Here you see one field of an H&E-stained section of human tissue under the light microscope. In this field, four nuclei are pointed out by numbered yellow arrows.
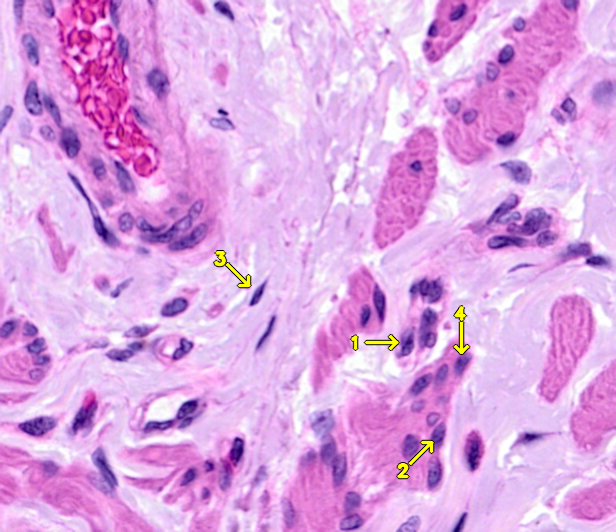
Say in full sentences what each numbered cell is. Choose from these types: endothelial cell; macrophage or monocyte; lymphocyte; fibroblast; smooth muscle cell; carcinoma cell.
Cell 1 is an endothelial cell. Cells 2 and 4 are smooth muscle cells. Cell 3 is a fibroblast.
